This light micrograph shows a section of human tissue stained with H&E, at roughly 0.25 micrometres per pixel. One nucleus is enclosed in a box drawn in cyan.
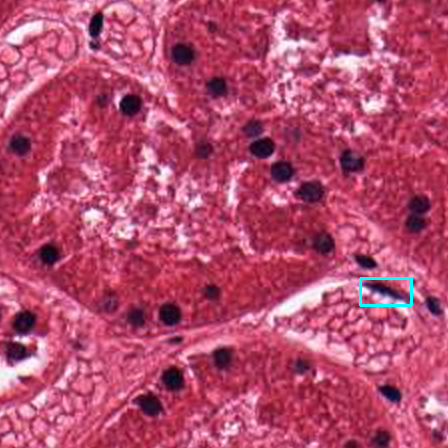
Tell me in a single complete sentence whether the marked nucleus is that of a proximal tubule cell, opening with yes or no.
No, the marked nucleus is not part of a proximal tubule cell and instead belongs to a supporting cell.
